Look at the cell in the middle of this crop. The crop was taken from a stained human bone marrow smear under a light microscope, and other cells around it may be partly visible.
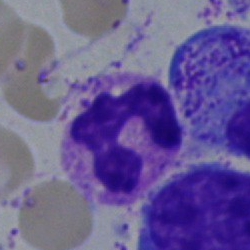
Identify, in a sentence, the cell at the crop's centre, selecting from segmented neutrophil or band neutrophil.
The central element of this crop is a cell, namely a segmented neutrophil.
